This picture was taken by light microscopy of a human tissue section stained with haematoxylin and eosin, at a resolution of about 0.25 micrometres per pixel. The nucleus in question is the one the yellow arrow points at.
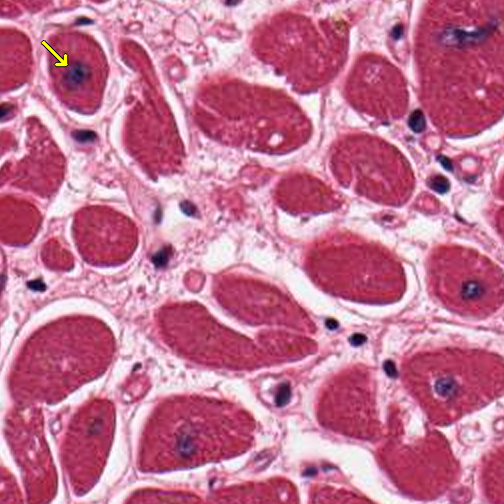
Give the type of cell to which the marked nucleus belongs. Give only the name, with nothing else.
cardiomyocyte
